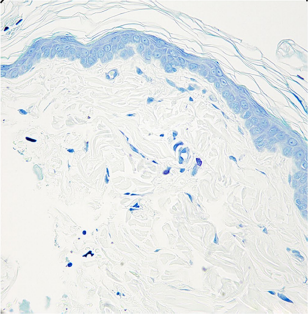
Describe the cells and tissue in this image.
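This is skin, with a thin epidermis of a few layers of blue-stained keratinocytes along the top and loose, pale dermis below. Flaky layers of keratin lie above the epidermis. The dermis holds only scattered spindle-shaped blue cells among wavy collagen fibres. A few purple-stained round to oval cells, the mast cells, sit in the superficial dermis.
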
